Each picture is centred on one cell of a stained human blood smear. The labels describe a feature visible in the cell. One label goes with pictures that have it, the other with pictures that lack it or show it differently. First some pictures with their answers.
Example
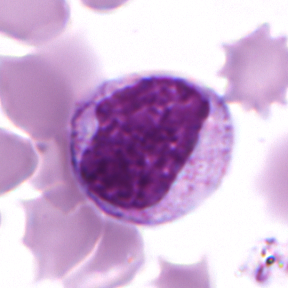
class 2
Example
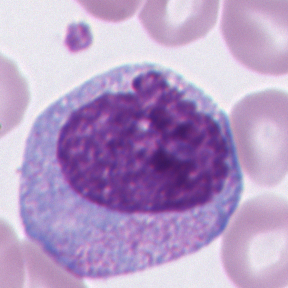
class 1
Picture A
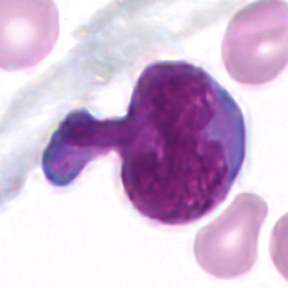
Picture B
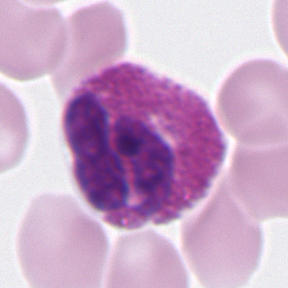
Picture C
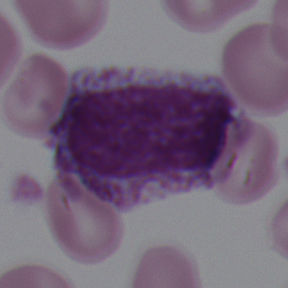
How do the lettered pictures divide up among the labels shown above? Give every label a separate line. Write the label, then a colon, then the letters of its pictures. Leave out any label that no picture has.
class 2: A, C
class 1: B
